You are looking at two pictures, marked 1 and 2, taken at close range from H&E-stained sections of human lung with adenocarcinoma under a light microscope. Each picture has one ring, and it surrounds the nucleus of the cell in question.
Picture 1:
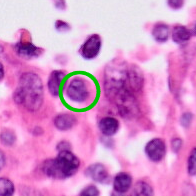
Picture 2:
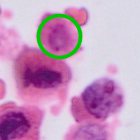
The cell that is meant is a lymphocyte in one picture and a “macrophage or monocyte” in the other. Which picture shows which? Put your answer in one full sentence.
Picture 2 shows a “macrophage or monocyte”, while picture 1 shows a lymphocyte.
